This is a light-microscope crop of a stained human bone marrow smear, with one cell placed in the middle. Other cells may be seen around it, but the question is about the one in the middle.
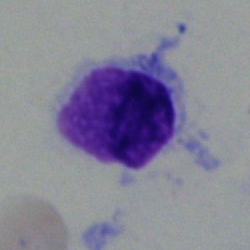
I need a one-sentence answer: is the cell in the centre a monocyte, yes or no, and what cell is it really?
No, the middle of the crop holds a hairy cell, not a monocyte.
